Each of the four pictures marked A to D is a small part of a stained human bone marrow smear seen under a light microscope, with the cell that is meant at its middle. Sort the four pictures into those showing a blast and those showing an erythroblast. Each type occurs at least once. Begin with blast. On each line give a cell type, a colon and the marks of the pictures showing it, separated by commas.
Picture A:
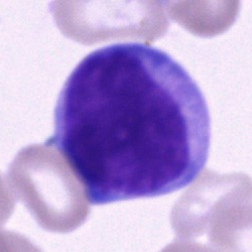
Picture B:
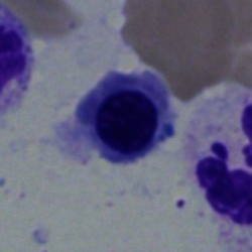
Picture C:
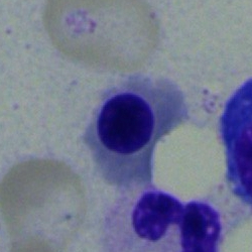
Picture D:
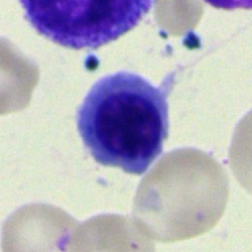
blast: A
erythroblast: B, C, D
